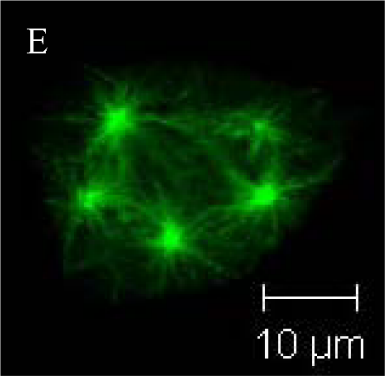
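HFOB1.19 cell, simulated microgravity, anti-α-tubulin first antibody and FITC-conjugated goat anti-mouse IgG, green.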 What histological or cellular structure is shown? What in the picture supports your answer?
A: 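Five polar spindles. Five bright green star-like foci are spread through the cell. Each focus radiates fine fibres. Fibres link neighbouring foci.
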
